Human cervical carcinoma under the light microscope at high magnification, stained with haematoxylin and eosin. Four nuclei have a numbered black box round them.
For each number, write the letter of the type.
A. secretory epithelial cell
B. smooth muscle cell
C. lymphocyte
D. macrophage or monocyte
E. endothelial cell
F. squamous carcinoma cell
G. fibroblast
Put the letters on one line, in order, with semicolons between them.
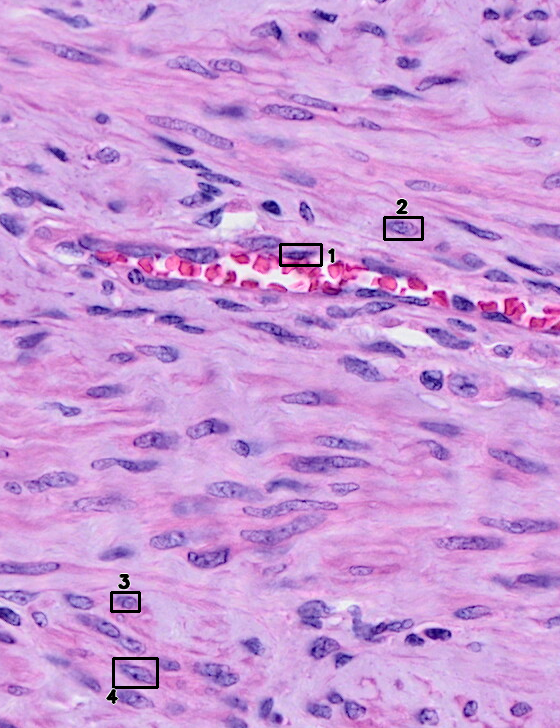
E; B; B; B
